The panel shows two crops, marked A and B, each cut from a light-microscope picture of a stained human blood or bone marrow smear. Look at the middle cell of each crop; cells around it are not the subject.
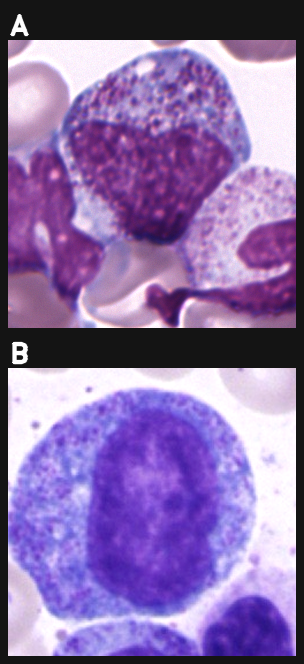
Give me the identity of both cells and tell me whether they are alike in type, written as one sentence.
Yes, both crops show promyelocytes, and that holds for each one.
